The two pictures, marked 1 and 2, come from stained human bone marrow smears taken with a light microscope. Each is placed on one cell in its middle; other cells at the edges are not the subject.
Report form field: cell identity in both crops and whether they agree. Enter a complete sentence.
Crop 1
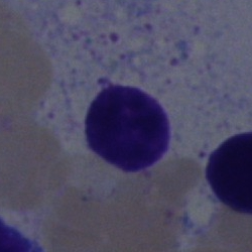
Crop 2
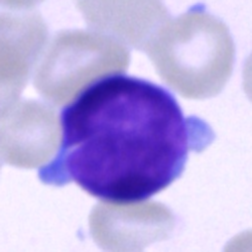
No, the cell that crop 1 shows is a lymphocyte, and the one crop 2 shows is a blast.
